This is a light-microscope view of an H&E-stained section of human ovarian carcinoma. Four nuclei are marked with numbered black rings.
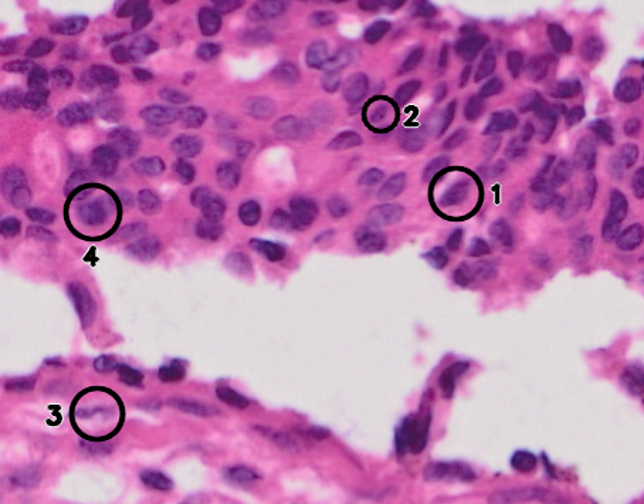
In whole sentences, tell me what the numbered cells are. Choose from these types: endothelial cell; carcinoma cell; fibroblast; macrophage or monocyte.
Cells 1, 2 and 4 are carcinoma cells. Cell 3 is a fibroblast.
